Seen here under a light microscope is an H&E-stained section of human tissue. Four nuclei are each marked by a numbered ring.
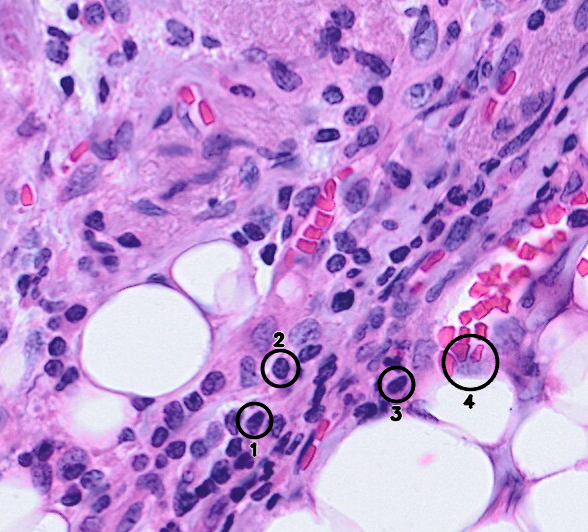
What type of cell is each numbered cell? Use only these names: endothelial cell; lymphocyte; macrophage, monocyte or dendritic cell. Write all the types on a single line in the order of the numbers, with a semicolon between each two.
lymphocyte; lymphocyte; lymphocyte; endothelial cell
